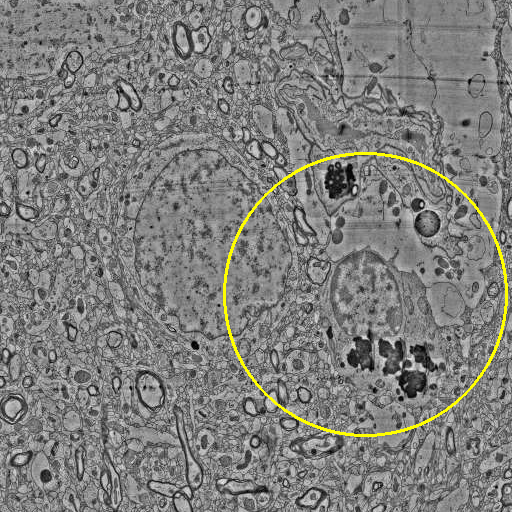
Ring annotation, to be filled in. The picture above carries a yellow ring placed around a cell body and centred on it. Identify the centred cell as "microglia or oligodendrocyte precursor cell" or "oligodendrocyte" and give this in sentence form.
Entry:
The cell in the middle of the ring is an oligodendrocyte.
